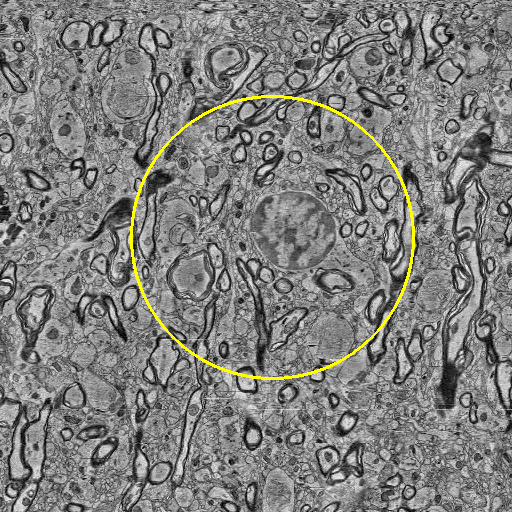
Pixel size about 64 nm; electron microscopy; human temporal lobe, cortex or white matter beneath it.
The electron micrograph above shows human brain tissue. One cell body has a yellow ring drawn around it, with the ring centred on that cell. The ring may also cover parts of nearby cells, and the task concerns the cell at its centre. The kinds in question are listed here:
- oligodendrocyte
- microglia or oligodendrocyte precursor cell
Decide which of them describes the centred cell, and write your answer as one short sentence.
The centred cell is a microglial cell or oligodendrocyte precursor cell.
